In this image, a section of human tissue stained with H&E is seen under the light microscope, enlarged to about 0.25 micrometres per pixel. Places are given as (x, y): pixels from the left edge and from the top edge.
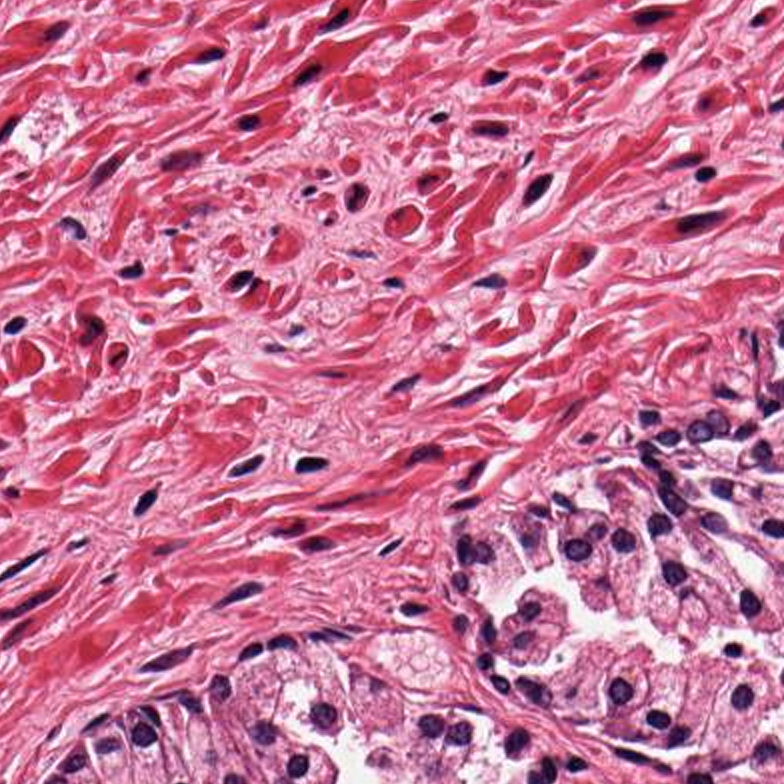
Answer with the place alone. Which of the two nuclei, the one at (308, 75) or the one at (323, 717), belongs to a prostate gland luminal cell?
(323, 717)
